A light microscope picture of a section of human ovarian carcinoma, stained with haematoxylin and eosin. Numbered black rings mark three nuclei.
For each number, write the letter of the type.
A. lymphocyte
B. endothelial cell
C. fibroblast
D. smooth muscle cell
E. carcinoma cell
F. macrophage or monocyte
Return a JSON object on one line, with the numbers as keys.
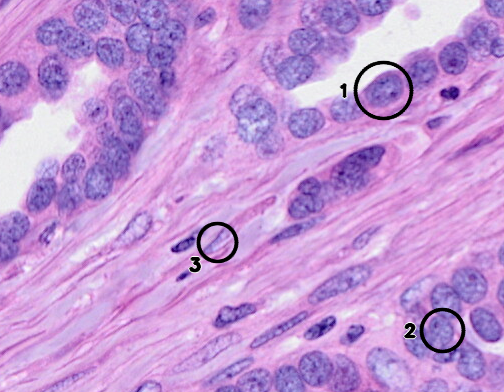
{"1": "E", "2": "E", "3": "C"}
